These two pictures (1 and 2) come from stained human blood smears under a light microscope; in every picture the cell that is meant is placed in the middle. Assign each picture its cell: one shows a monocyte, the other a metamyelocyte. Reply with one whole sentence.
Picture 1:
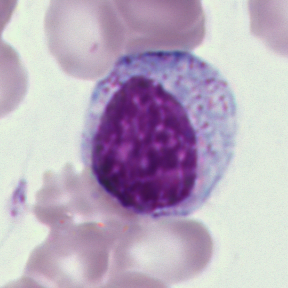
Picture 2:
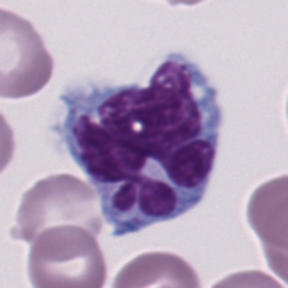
Picture 2 shows a monocyte, while picture 1 shows a metamyelocyte.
